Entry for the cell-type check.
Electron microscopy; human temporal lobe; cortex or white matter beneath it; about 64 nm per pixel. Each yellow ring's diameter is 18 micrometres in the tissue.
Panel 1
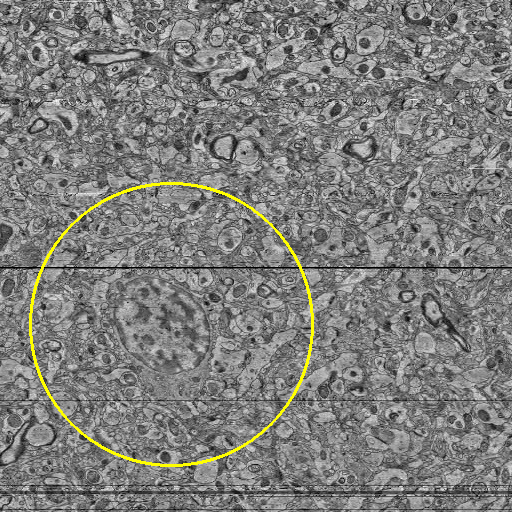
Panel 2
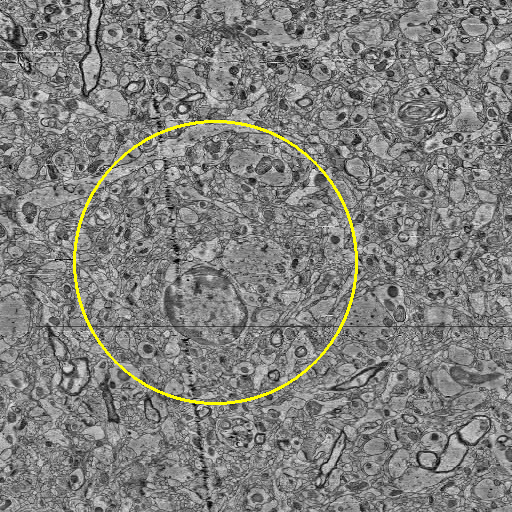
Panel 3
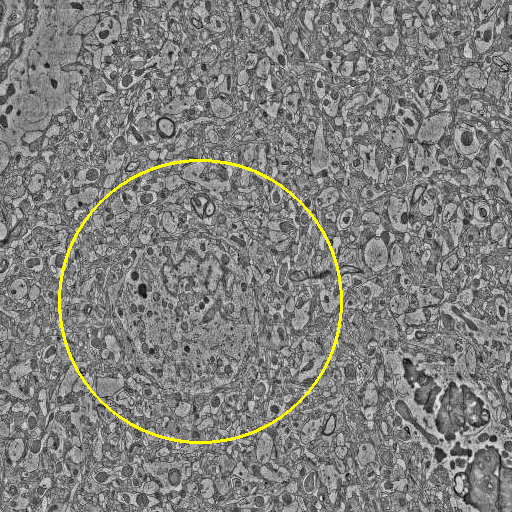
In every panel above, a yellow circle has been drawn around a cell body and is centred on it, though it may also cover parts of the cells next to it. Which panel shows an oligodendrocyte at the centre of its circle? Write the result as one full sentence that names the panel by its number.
Panel 1 shows it at the centre of its circle.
